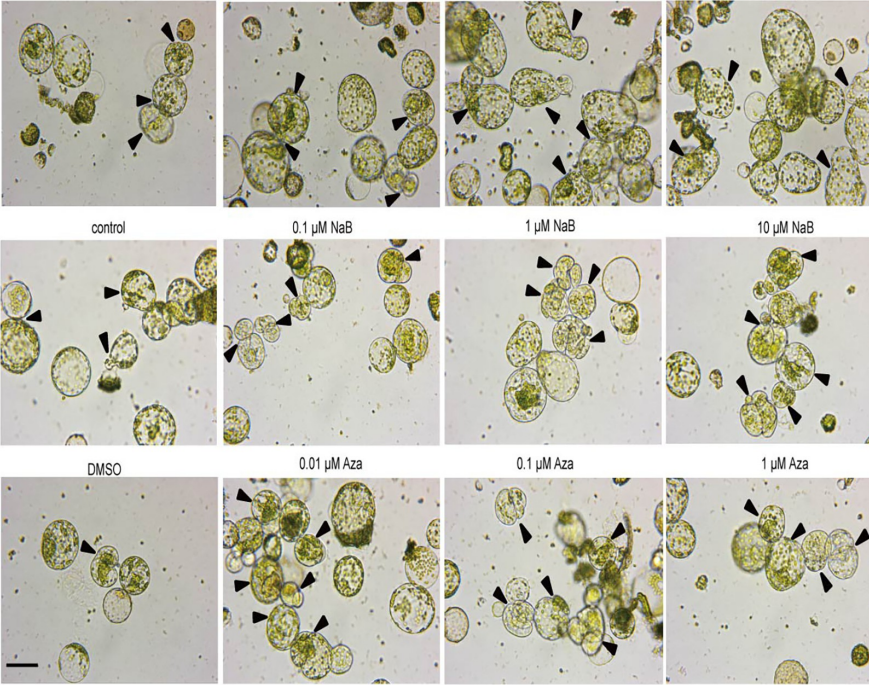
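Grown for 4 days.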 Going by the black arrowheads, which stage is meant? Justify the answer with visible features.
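Dividing cells with a cell plate. The marked cells appear split into two adjoining compartments.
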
